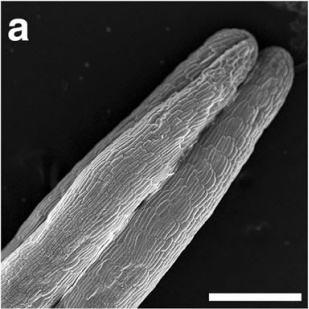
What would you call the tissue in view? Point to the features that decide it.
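Two elongated, parallel lobes with rounded tips. Surface made of many elongated cells arranged lengthwise. On this evidence: anthers.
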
